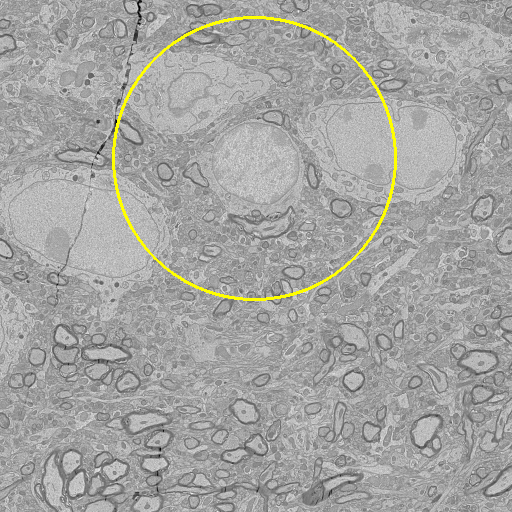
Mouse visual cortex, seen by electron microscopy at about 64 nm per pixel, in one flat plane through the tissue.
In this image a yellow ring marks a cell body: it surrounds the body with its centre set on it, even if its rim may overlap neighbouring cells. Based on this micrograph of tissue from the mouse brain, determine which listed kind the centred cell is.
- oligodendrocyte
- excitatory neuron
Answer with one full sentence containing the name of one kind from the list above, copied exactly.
It is an oligodendrocyte whose body the yellow ring encloses at its centre.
